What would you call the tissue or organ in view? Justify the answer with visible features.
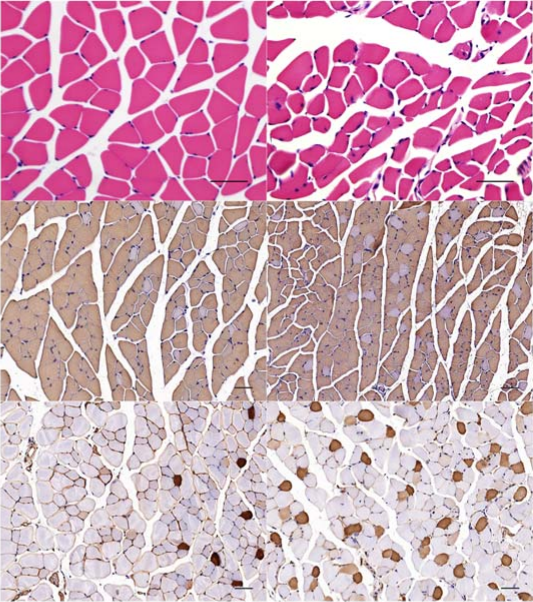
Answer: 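Tightly packed polygonal fibres cut in cross-section. Small dark nuclei sit at the edges of the fibres. Fibres are grouped into bundles separated by thin pale spaces. On this evidence: Skeletal muscle fibres.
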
